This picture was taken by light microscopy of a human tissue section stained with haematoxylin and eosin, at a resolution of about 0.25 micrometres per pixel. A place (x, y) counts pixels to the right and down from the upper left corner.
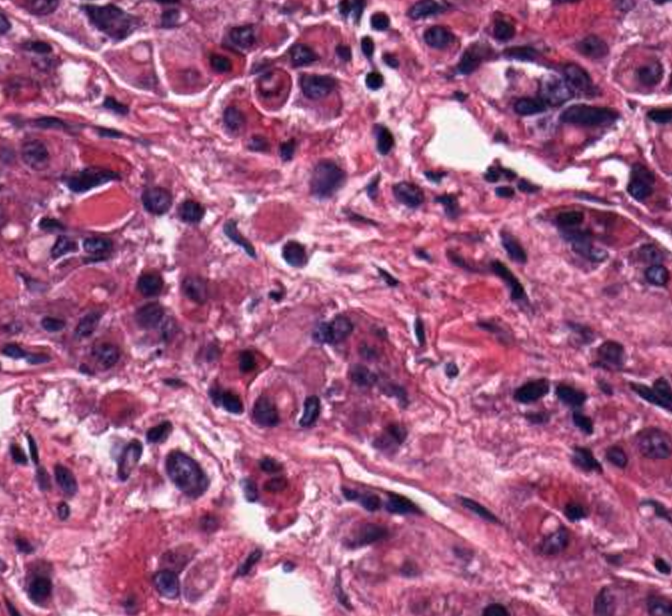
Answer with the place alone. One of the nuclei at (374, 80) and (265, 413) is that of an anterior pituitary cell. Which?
(265, 413)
